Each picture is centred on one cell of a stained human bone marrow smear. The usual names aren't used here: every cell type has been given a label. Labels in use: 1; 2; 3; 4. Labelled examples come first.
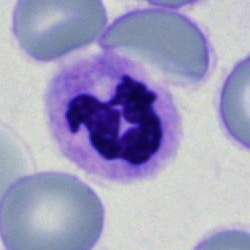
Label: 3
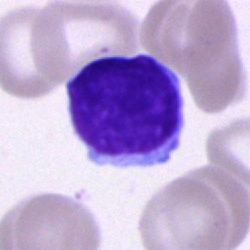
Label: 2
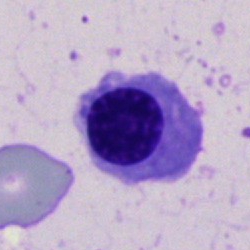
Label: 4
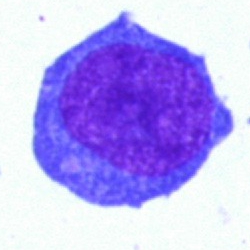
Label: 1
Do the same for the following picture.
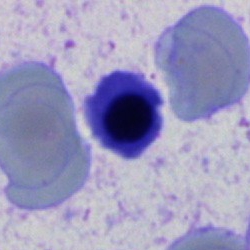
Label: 4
